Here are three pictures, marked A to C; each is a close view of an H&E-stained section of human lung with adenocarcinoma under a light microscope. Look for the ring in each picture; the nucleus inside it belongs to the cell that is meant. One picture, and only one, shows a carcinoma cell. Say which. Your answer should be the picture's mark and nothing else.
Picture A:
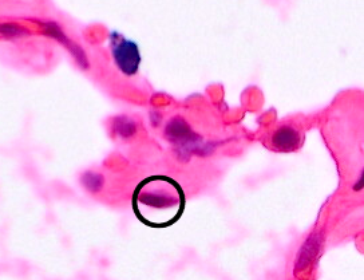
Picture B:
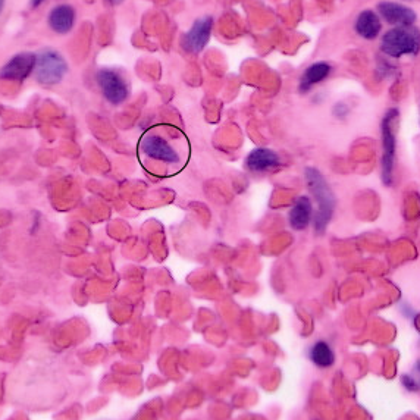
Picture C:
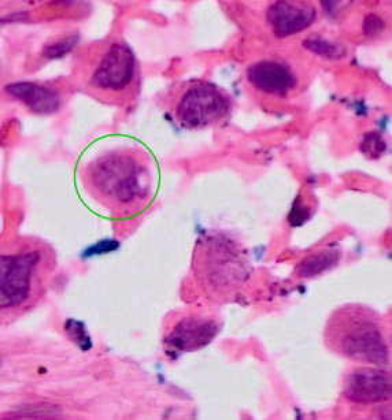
C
